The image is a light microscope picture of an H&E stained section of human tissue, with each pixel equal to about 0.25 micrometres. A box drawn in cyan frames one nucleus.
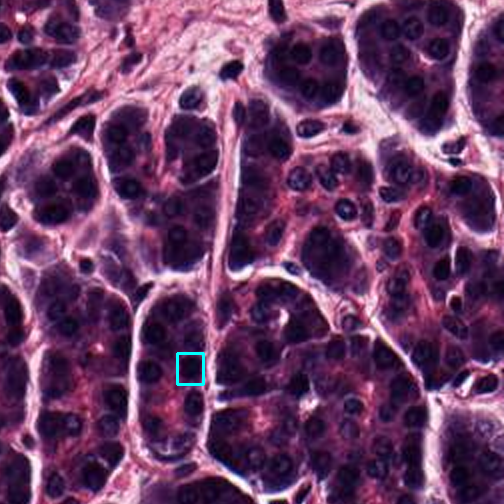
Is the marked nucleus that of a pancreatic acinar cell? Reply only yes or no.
yes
